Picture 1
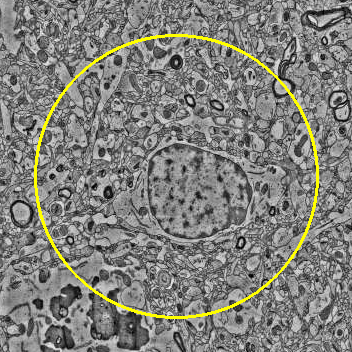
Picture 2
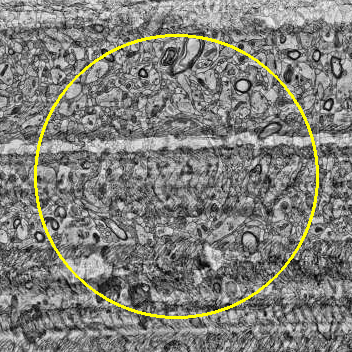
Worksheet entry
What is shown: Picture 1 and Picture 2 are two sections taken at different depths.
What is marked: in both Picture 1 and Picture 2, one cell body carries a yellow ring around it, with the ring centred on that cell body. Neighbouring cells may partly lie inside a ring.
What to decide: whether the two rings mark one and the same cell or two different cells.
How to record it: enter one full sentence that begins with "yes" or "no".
Yes, both rings are placed on a single cell.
